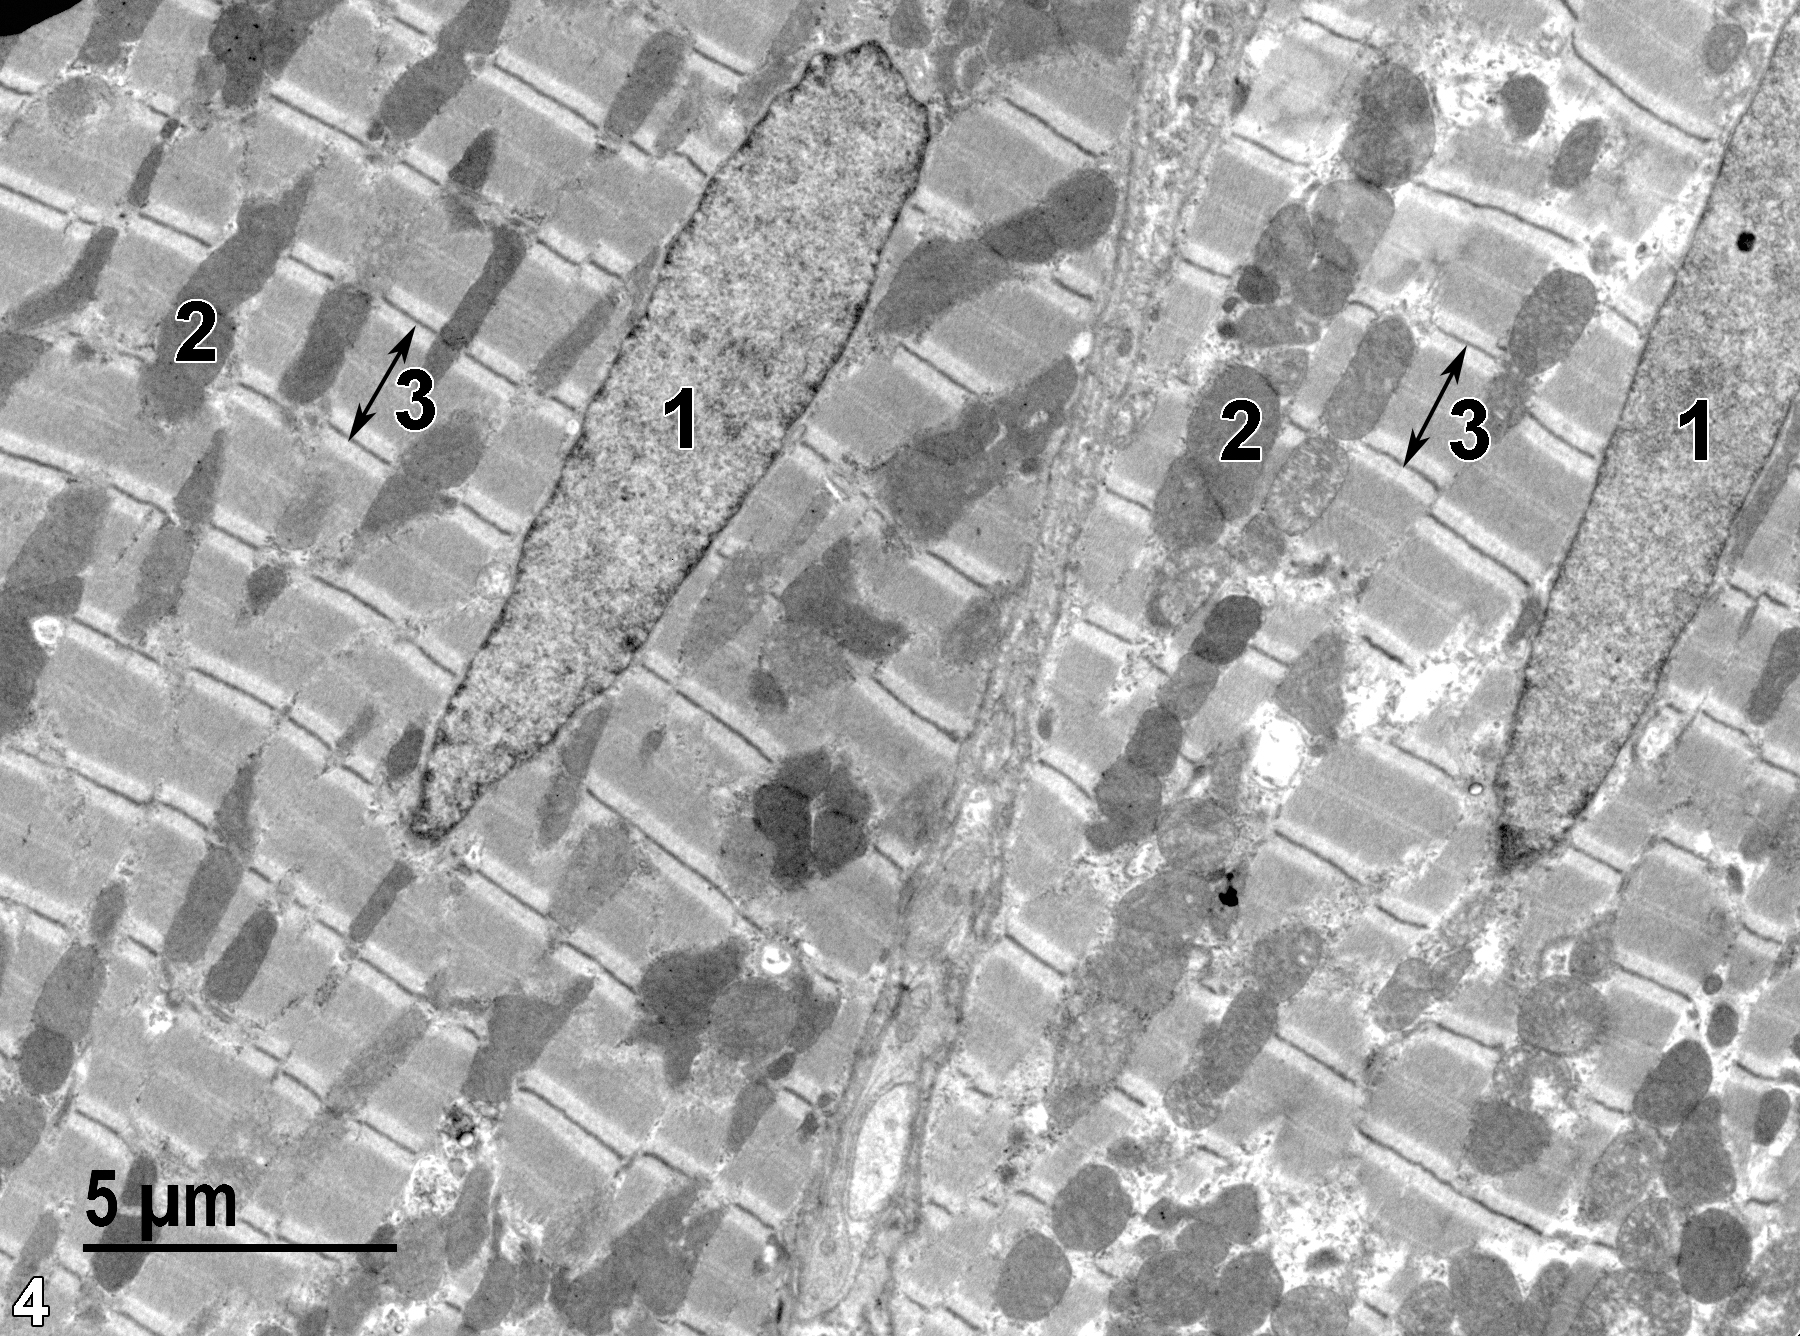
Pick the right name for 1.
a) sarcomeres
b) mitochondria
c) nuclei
c) nuclei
